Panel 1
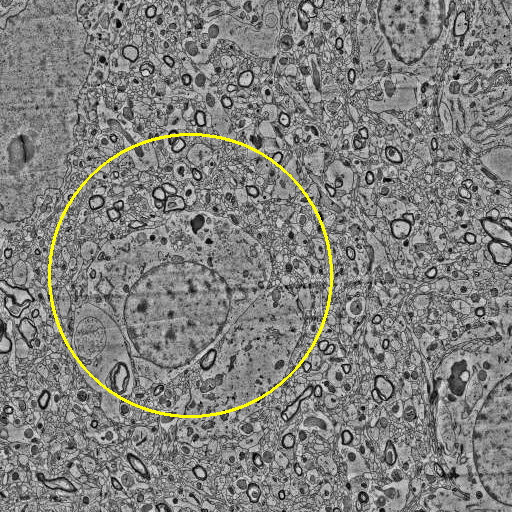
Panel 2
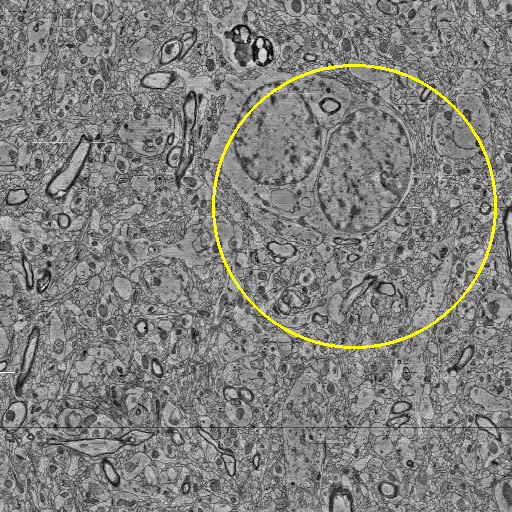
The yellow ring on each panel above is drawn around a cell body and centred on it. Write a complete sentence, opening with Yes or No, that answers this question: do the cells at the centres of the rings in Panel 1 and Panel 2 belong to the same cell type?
No, the two cells belong to two cell types.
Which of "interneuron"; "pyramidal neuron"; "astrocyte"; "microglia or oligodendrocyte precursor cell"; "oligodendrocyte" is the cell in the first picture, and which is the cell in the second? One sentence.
The two differ: the first cell is an interneuron and the second is a microglial cell or oligodendrocyte precursor cell.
